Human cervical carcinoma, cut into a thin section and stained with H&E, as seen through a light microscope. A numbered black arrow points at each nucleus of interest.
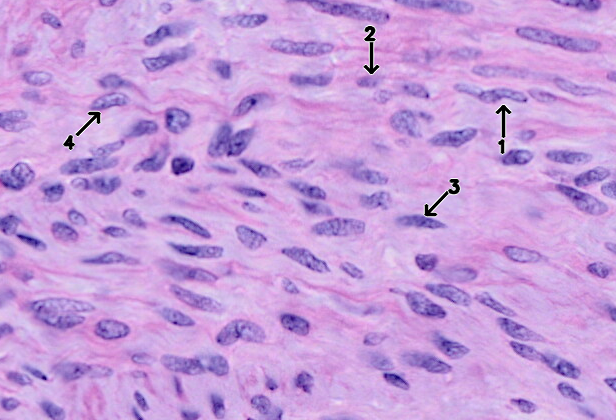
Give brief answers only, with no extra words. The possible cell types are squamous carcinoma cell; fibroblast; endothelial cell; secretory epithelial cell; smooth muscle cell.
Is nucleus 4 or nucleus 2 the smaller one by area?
2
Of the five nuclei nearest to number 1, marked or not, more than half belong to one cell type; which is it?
smooth muscle cell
